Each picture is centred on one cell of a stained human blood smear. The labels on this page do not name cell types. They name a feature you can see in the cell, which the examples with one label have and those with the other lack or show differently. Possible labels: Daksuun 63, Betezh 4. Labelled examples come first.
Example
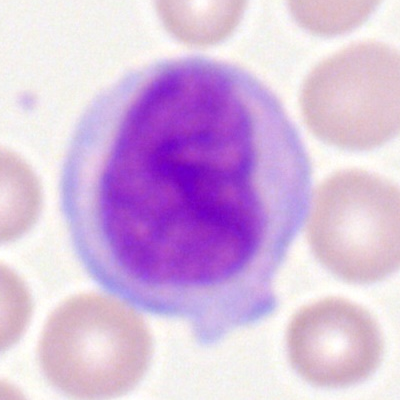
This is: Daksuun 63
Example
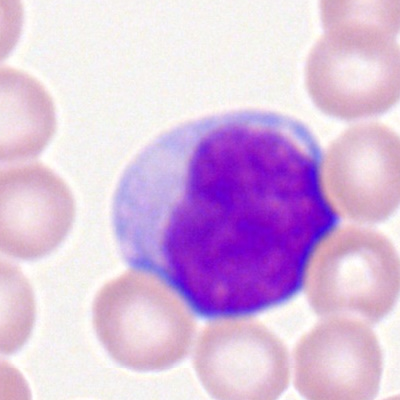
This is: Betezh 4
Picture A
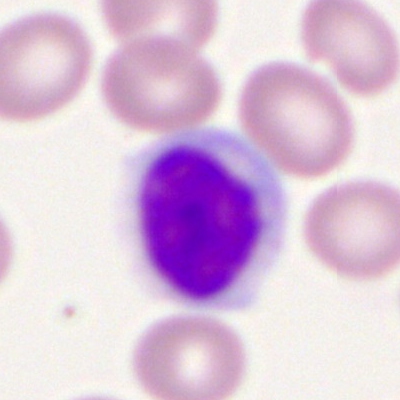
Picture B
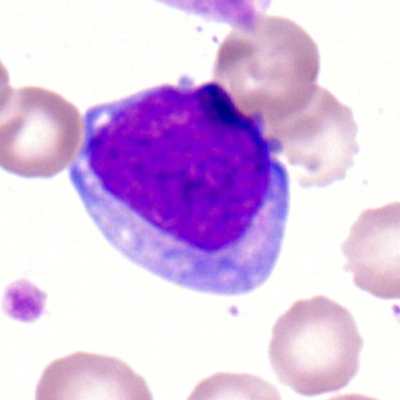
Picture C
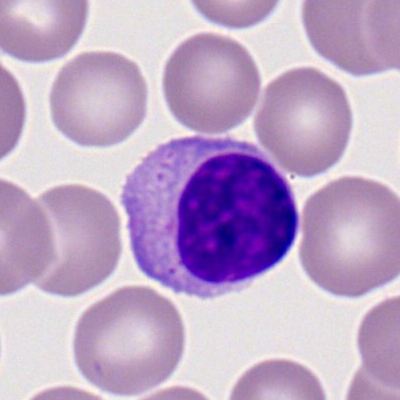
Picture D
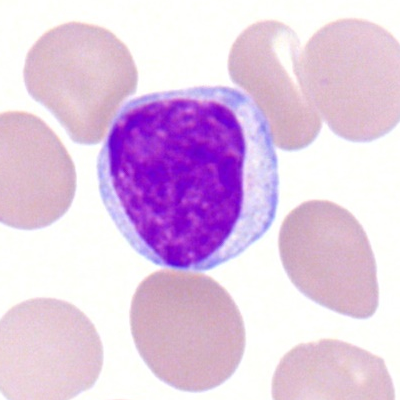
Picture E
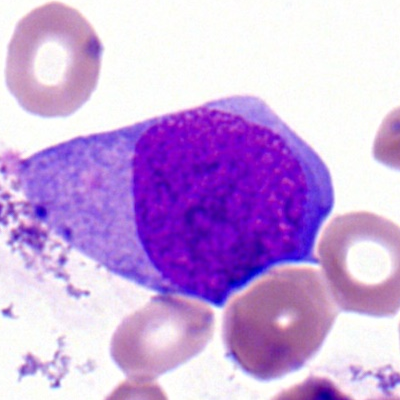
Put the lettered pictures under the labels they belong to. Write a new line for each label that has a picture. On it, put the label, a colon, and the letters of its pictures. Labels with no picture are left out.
Daksuun 63: A, D
Betezh 4: B, C, E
